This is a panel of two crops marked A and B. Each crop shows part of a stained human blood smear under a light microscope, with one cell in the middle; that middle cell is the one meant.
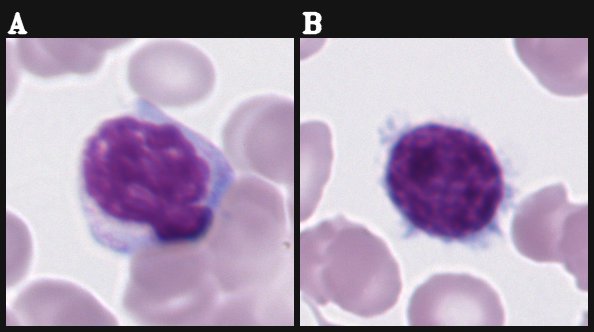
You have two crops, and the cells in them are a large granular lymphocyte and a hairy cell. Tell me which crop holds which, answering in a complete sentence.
Okay, so crop A is a large granular lymphocyte and crop B is a hairy cell.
